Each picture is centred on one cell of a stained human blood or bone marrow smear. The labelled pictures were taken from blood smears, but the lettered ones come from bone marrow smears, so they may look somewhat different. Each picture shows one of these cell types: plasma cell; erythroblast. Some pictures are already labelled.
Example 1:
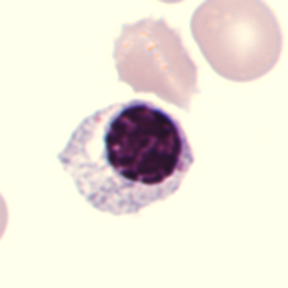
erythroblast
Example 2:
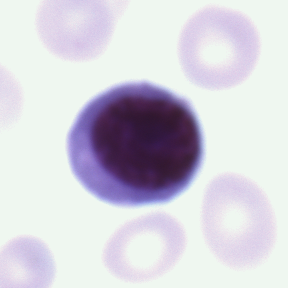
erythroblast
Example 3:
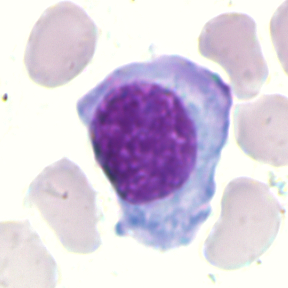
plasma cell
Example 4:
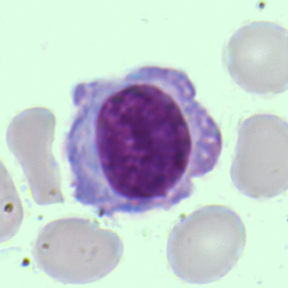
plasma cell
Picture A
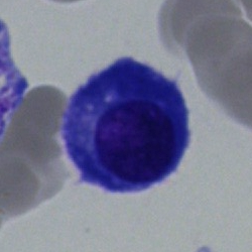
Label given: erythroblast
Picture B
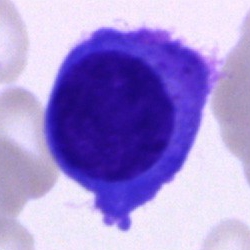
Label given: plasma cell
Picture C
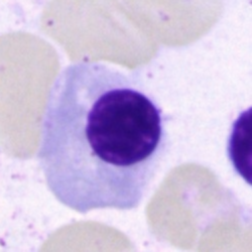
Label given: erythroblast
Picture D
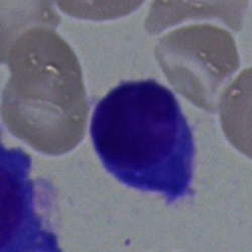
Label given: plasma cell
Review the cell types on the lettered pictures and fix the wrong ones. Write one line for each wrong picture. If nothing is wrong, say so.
Wrong: A (erythroblast); correct: plasma cell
